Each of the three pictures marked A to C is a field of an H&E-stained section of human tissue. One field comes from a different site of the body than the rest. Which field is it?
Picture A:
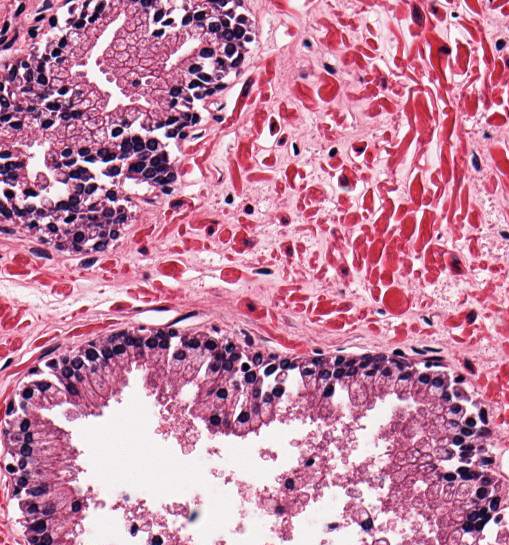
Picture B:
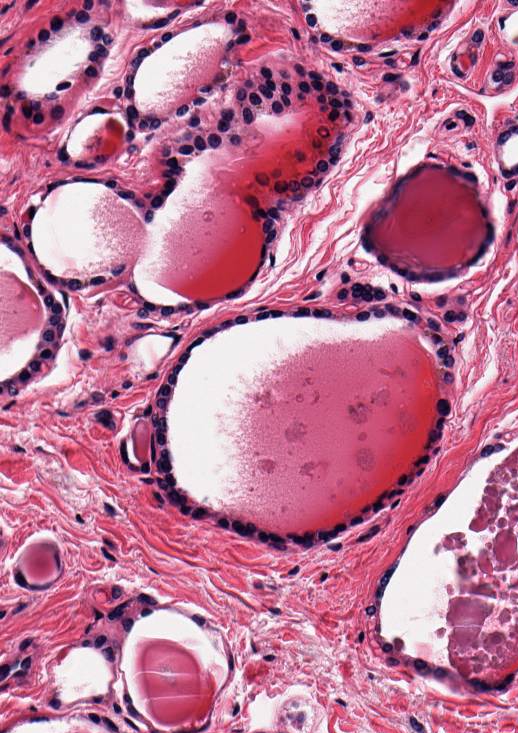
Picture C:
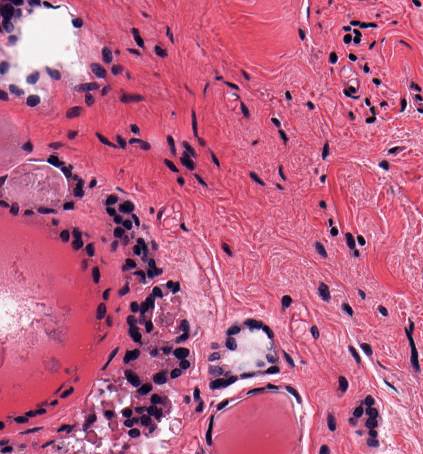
A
